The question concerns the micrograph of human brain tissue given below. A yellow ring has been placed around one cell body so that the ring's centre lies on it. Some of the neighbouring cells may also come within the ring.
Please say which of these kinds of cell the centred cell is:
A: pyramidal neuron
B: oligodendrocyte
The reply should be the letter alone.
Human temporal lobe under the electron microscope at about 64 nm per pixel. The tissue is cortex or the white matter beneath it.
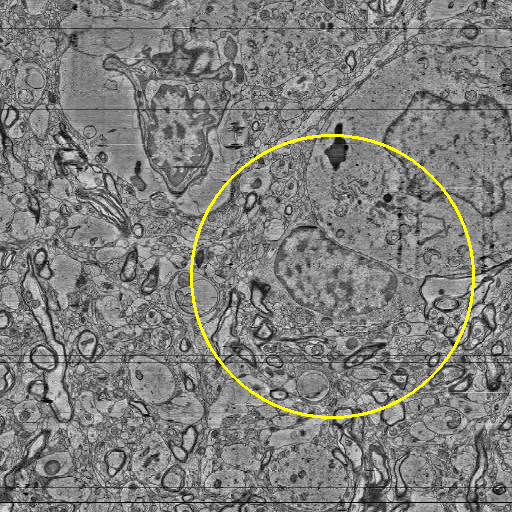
B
